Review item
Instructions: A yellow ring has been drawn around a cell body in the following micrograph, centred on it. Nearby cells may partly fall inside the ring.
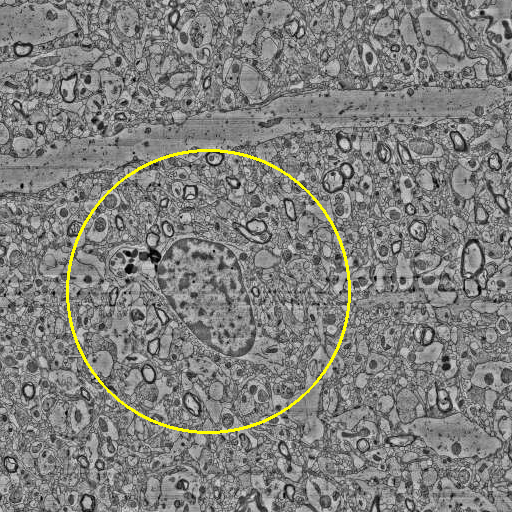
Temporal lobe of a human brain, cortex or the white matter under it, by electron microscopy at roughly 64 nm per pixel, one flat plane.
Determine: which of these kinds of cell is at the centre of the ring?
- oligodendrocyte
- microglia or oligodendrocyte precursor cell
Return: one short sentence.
The cell body in the middle of the ring is that of a microglial cell or oligodendrocyte precursor cell.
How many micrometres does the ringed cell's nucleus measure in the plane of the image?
The nucleus comes to approximately 8 by 5 micrometres and is clearly longer than it is wide in this plane.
